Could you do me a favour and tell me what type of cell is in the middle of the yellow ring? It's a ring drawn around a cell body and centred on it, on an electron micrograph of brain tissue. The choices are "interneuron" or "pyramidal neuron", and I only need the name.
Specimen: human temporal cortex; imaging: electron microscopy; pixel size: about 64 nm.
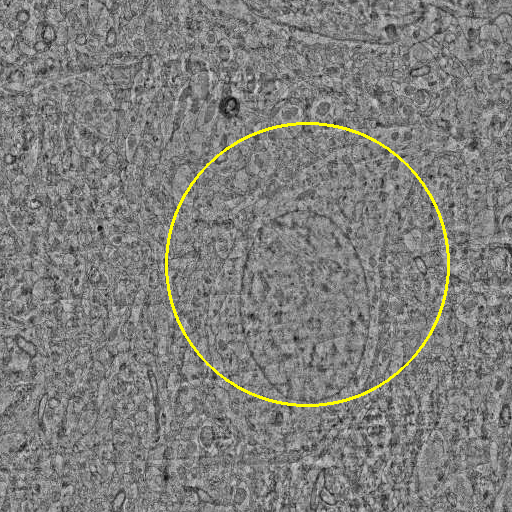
pyramidal neuron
